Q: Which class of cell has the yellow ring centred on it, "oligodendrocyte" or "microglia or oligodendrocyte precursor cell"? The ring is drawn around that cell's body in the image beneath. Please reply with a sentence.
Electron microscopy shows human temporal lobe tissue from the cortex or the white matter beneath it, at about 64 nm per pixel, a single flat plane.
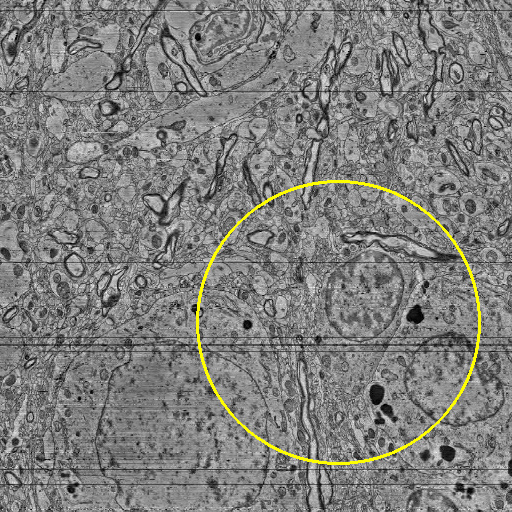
It is centred on an oligodendrocyte.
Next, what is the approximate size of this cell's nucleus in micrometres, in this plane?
The nucleus comes to roughly 6 by 5 micrometres in this plane.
